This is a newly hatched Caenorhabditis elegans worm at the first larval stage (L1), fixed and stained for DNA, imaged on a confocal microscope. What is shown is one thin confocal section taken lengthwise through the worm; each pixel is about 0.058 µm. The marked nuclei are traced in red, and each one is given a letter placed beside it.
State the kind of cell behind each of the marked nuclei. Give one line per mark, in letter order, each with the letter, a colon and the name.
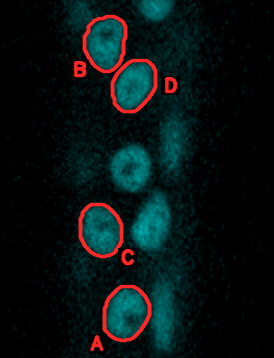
A: seam cell
B: hypodermal cell (hyp)
C: hypodermal cell (hyp)
D: Q neuroblast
